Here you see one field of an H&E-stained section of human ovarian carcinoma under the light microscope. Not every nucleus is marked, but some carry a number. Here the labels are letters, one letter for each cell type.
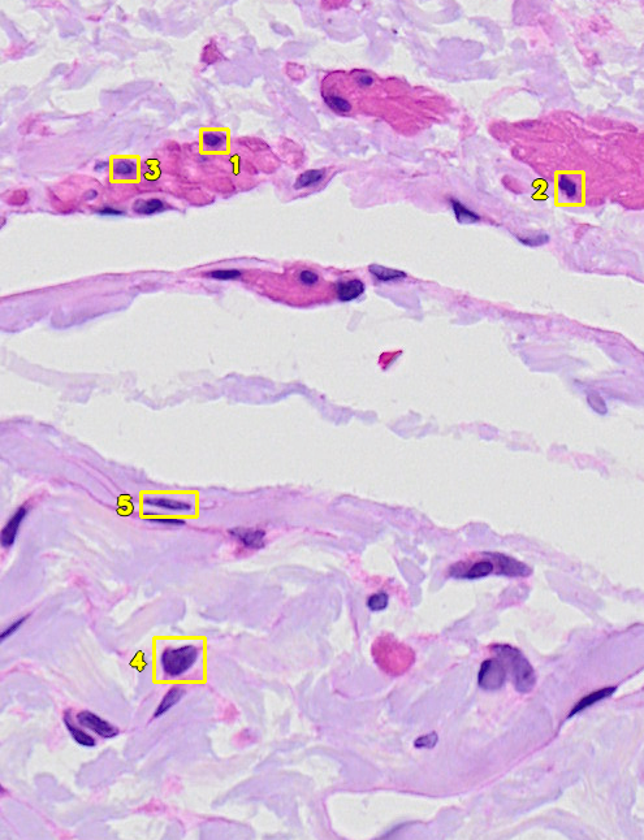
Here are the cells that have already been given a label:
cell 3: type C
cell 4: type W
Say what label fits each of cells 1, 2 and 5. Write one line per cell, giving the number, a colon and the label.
1: type C
2: type C
5: type W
